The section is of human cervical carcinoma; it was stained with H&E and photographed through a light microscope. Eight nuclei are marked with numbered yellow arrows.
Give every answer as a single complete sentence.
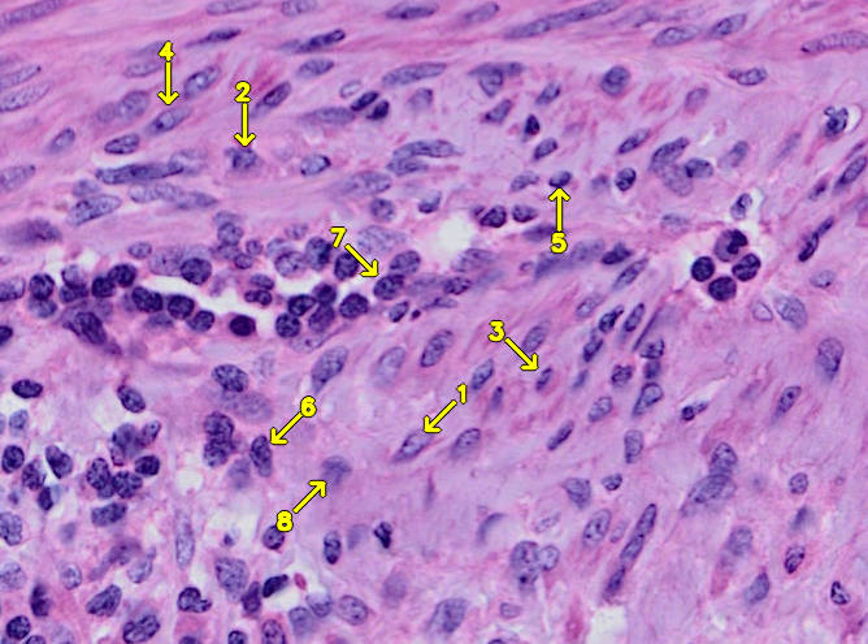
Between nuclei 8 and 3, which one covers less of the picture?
The smaller nucleus is 3, and 8 covers roughly 3 times its area.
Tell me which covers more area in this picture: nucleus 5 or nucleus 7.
Nucleus 7 is the larger one, covering about 2 times the area of nucleus 5.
